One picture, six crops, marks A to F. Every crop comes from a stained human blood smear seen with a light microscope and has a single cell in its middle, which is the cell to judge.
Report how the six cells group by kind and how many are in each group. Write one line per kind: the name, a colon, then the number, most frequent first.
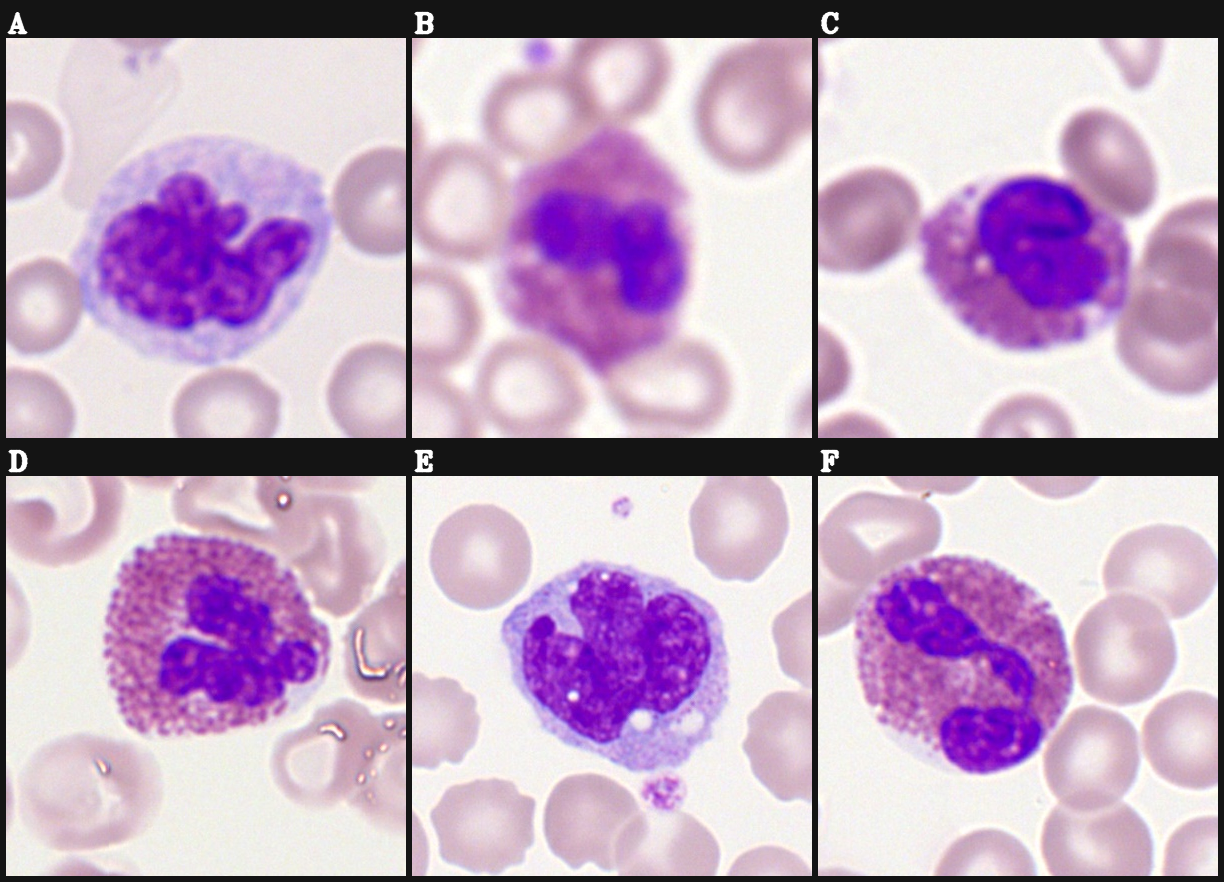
eosinophil: 4
monocyte: 2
